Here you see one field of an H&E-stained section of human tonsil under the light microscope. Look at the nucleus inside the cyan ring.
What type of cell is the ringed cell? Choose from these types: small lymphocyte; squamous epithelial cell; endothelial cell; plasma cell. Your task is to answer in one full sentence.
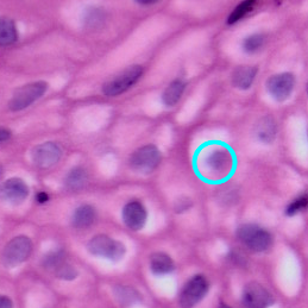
For the purposes of cell typing, the ringed cell is categorized as a squamous epithelial cell.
